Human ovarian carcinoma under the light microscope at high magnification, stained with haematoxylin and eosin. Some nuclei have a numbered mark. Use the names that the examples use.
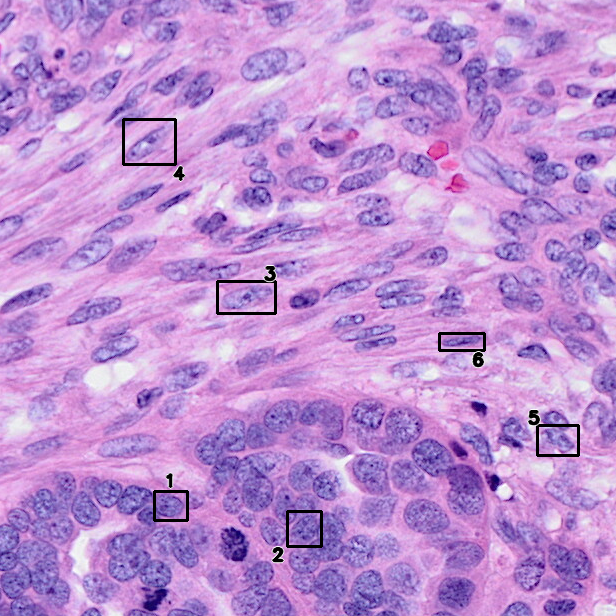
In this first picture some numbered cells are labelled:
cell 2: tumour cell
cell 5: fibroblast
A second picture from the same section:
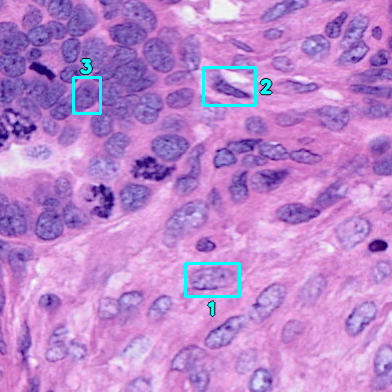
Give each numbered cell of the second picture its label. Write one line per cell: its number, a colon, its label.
1: fibroblast
2: fibroblast
3: tumour cell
